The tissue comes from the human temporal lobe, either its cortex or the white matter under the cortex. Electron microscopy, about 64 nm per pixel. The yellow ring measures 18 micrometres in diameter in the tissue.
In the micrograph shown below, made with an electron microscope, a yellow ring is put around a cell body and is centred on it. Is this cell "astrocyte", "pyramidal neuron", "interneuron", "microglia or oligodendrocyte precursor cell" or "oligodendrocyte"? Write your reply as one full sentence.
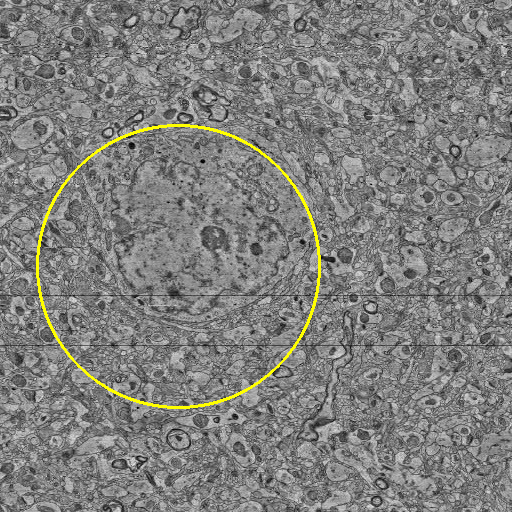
In the micrograph, an interneuron is the cell at the centre of the yellow ring.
